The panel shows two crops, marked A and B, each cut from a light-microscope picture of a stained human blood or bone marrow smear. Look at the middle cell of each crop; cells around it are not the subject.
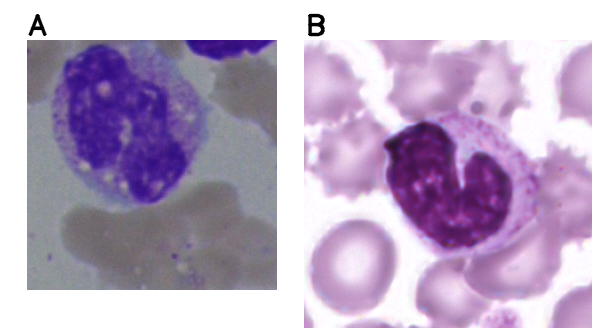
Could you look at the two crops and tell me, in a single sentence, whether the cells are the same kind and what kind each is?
Yes, the cells in both crops are band neutrophils.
